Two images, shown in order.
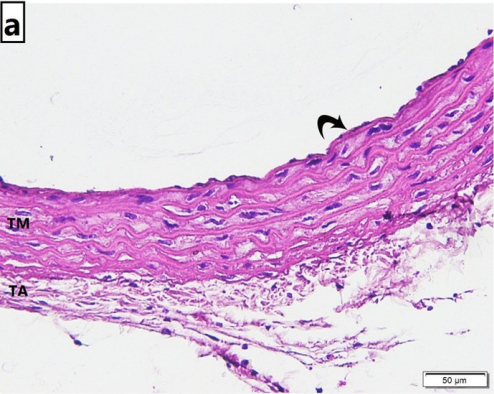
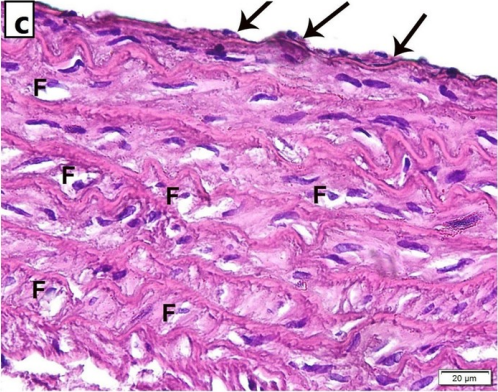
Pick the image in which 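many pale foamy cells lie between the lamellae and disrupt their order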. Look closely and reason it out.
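Second image: many pale, clear cells sit among disordered wavy pink bands. First image: the wavy pink bands run in regular parallel order with no pale cell clusters.
Answer: the second image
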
